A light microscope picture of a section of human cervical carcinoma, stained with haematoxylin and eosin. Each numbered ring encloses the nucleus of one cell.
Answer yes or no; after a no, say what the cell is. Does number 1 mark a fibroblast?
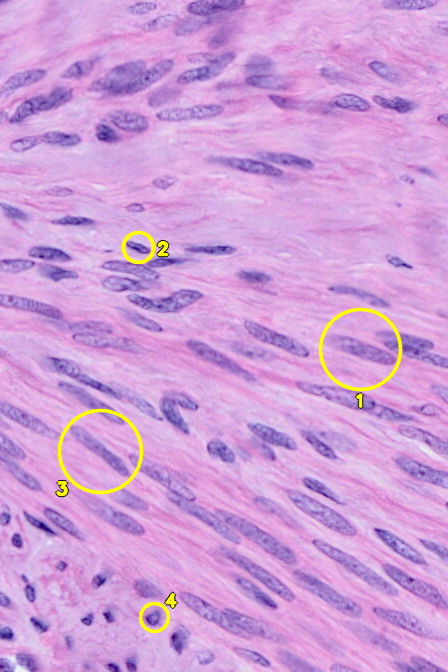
No, it is a smooth muscle cell.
